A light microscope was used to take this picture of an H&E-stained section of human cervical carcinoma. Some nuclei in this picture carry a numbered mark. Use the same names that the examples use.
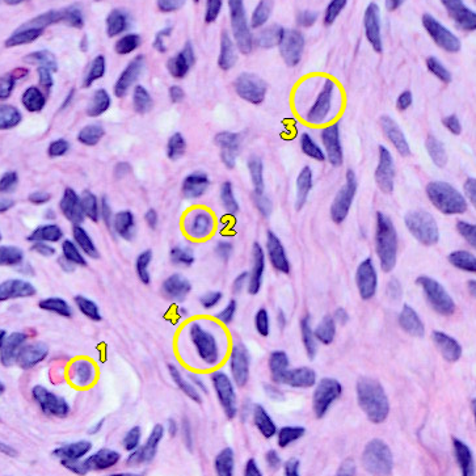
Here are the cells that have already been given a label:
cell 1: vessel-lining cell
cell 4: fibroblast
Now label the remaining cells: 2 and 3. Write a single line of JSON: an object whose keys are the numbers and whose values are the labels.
{"2": "vessel-lining cell", "3": "fibroblast"}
